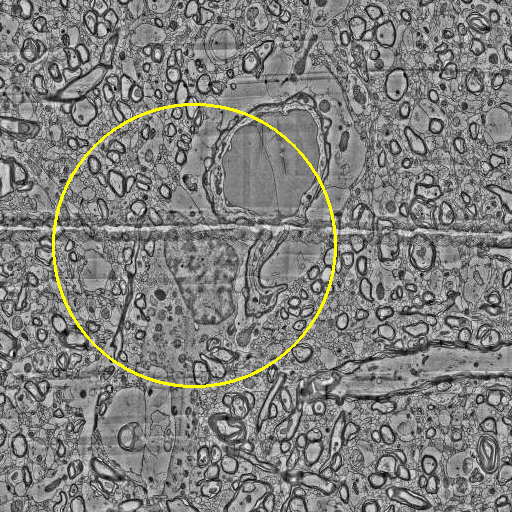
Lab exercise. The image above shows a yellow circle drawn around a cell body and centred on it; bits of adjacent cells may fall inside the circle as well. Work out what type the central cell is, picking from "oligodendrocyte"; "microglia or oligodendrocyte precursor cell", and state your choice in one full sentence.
In the image above, the cell at the centre of the yellow circle is an oligodendrocyte.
